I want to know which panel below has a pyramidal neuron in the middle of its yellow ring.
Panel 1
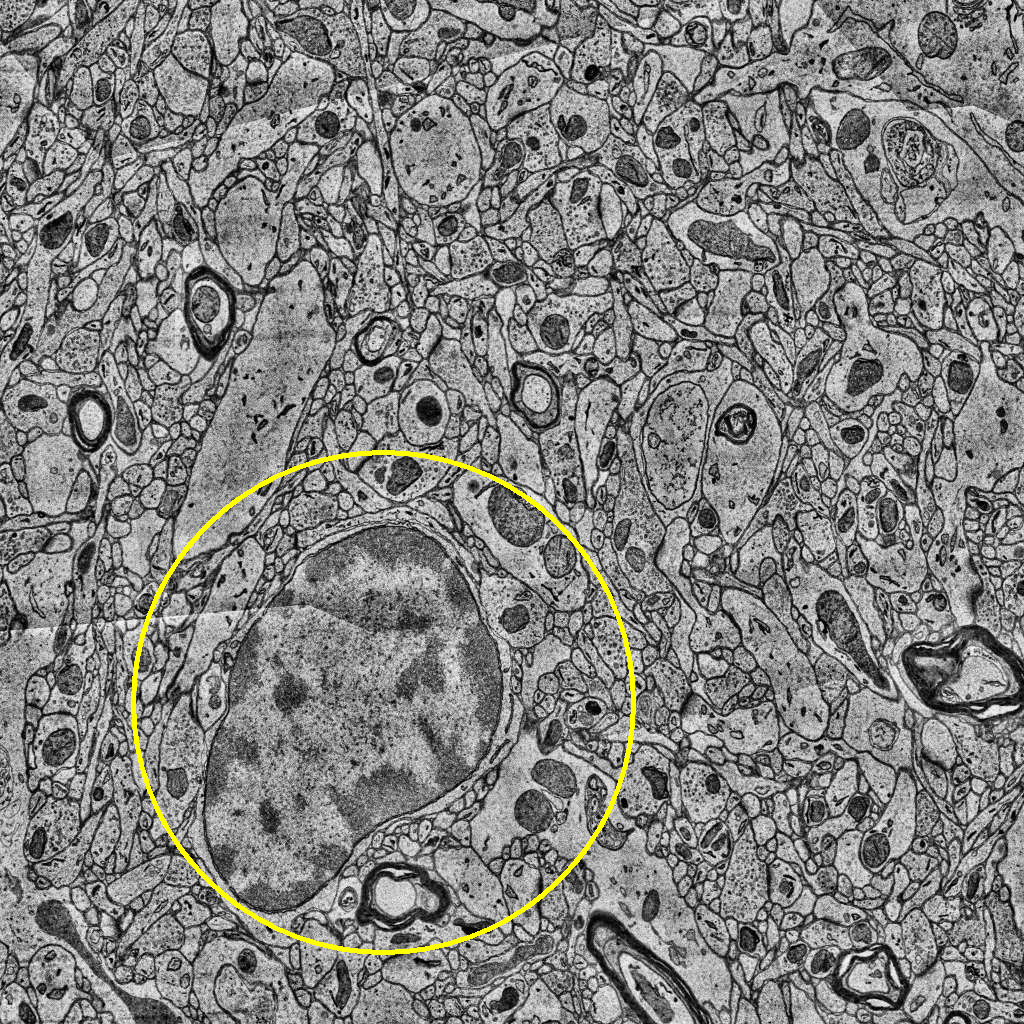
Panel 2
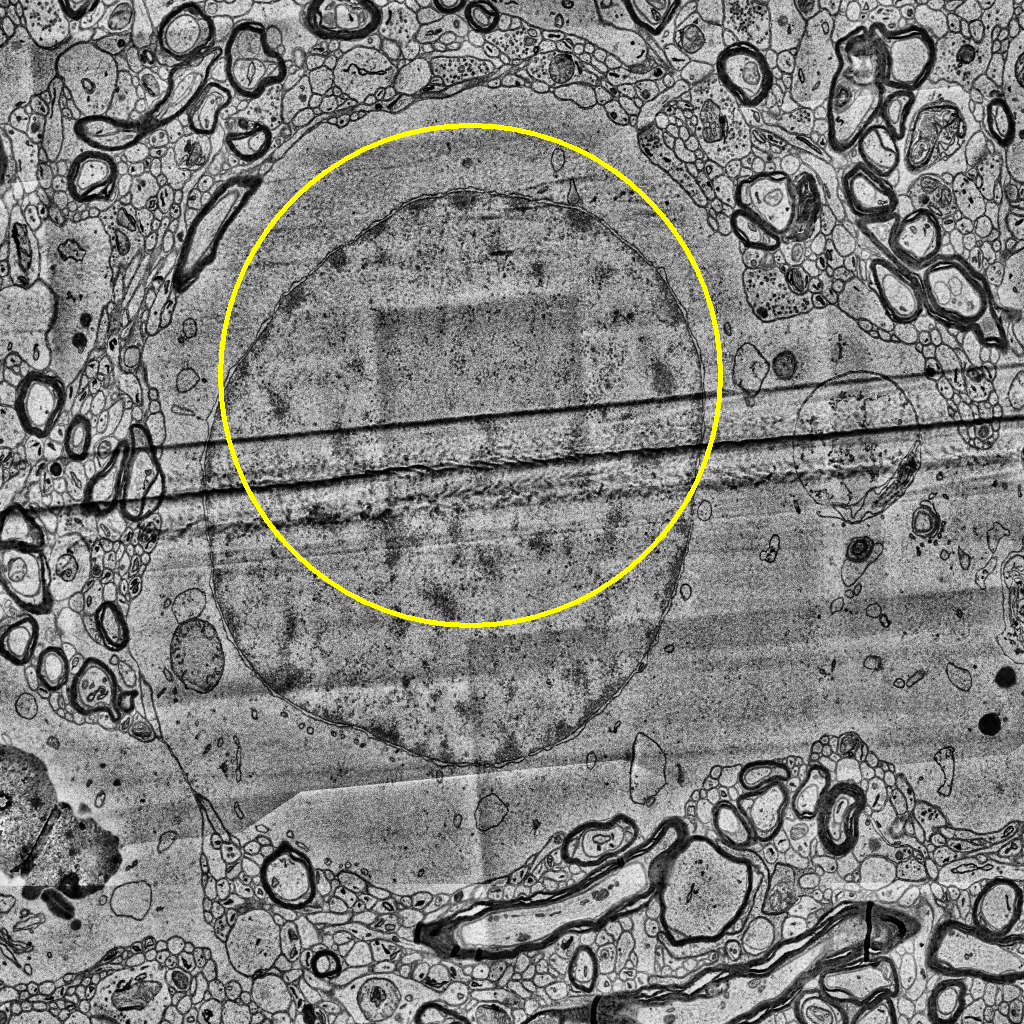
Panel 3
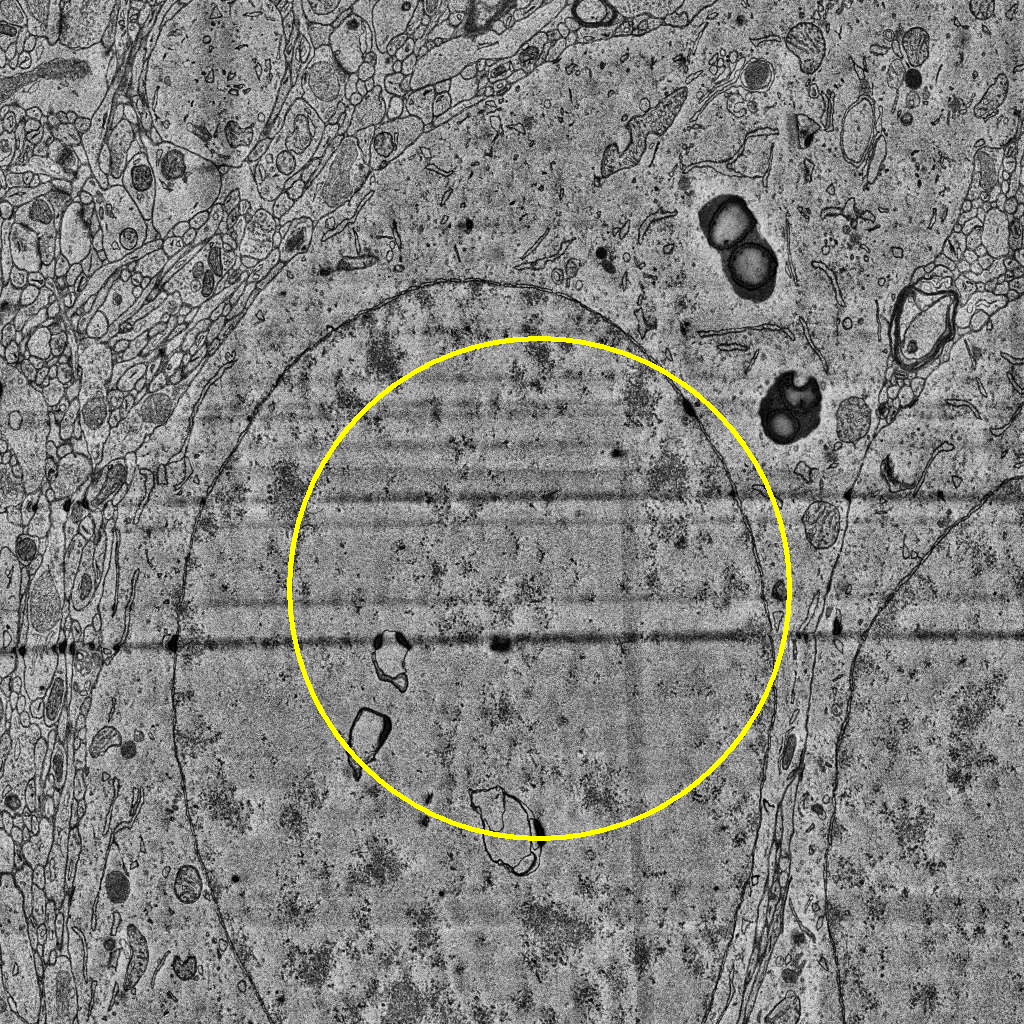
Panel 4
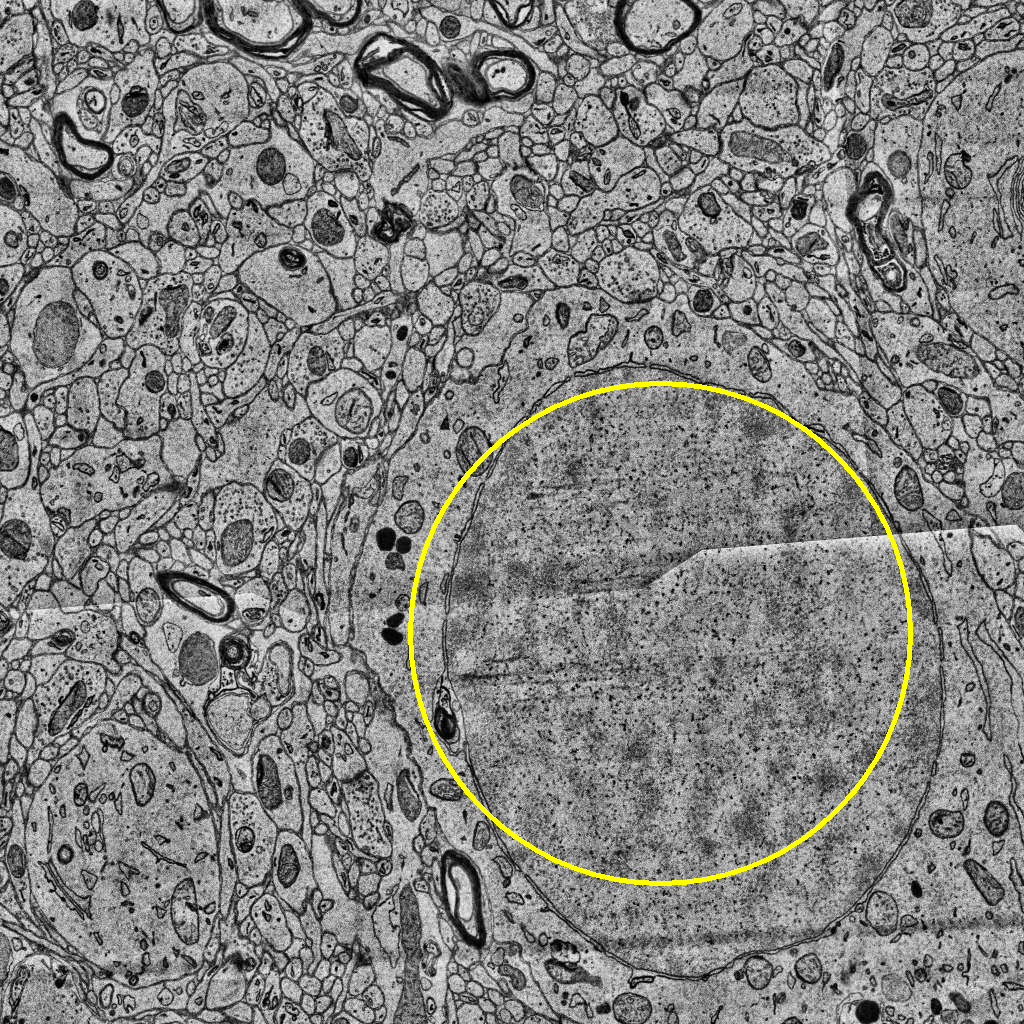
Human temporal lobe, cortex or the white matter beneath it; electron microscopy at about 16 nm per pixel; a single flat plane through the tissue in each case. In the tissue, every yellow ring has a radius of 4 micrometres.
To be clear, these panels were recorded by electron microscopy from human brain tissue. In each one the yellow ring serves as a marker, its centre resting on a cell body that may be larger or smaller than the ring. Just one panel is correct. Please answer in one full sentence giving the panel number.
Panel 3 has the requested cell sitting at the centre of its ring.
